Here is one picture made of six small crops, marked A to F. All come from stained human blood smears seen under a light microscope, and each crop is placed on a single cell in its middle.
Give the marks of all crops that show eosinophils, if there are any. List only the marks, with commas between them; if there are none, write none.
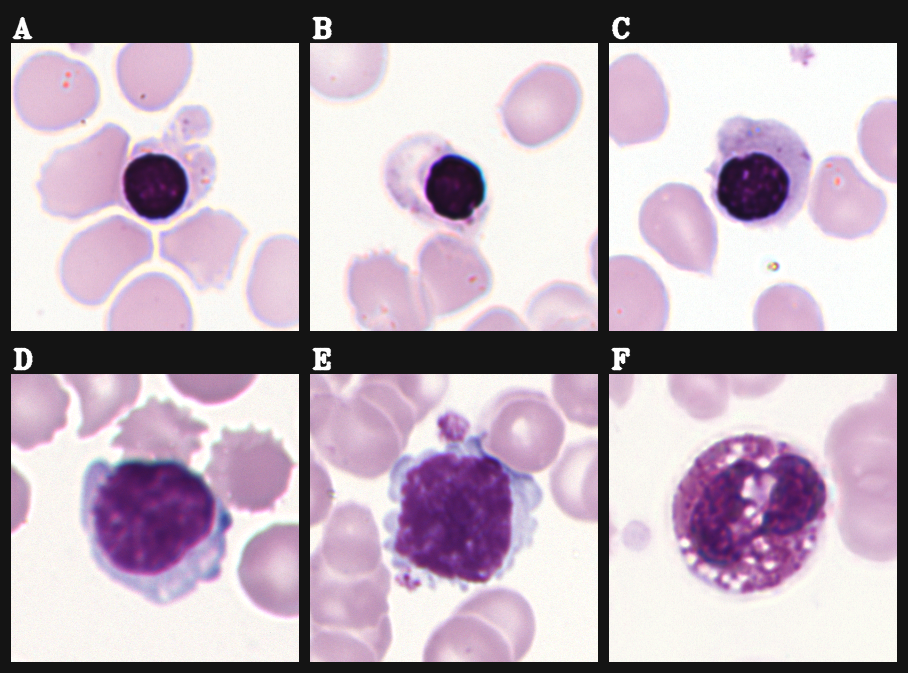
F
